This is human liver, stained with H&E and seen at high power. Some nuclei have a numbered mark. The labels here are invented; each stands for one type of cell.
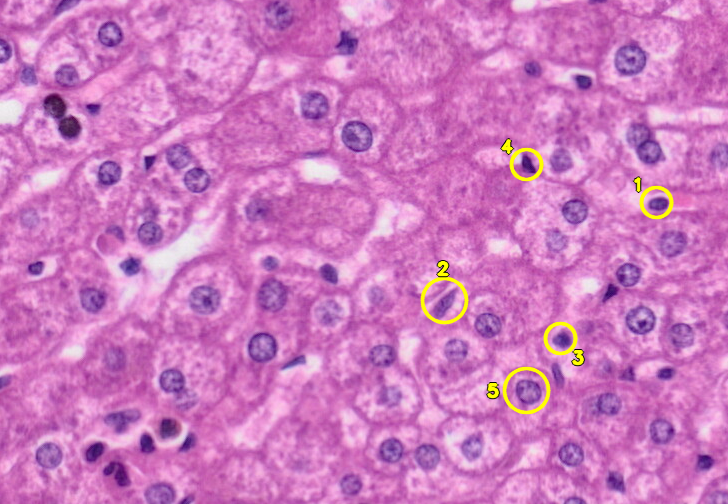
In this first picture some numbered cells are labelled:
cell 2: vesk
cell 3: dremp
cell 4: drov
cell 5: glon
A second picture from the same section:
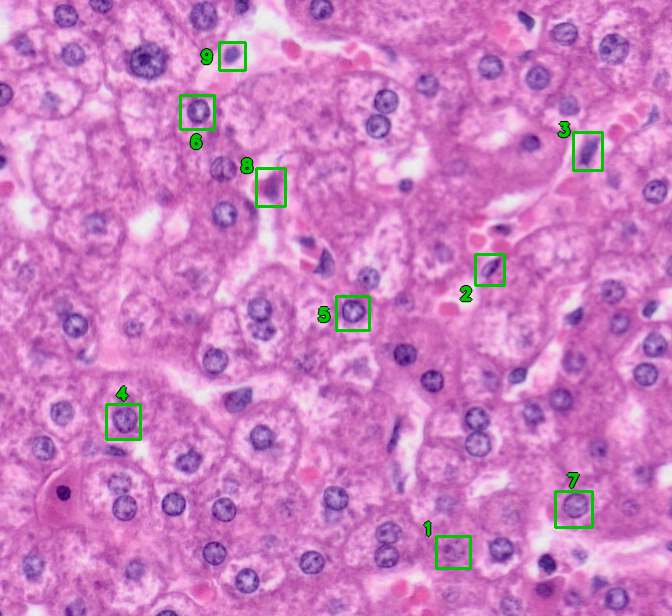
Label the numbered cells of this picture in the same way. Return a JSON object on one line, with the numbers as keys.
{"1": "glon", "2": "drov", "3": "vesk", "4": "glon", "5": "glon", "6": "glon", "7": "glon", "8": "vesk", "9": "dremp"}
